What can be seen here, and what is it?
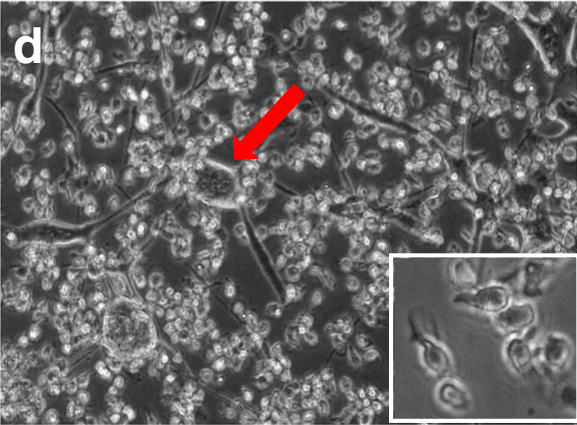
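A dense lawn of small, round, phase-bright cells is crossed by long thin cell processes, and here and there lies a much larger cell with dark granular contents, several times the width of its neighbours. The inset shows single cells with irregular outlines and short projections.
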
